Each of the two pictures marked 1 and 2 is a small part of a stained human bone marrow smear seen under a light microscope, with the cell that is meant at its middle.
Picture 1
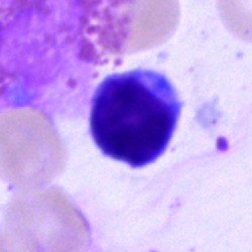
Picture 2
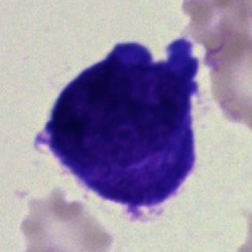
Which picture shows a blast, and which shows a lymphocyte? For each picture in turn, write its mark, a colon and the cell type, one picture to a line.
1: lymphocyte
2: blast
